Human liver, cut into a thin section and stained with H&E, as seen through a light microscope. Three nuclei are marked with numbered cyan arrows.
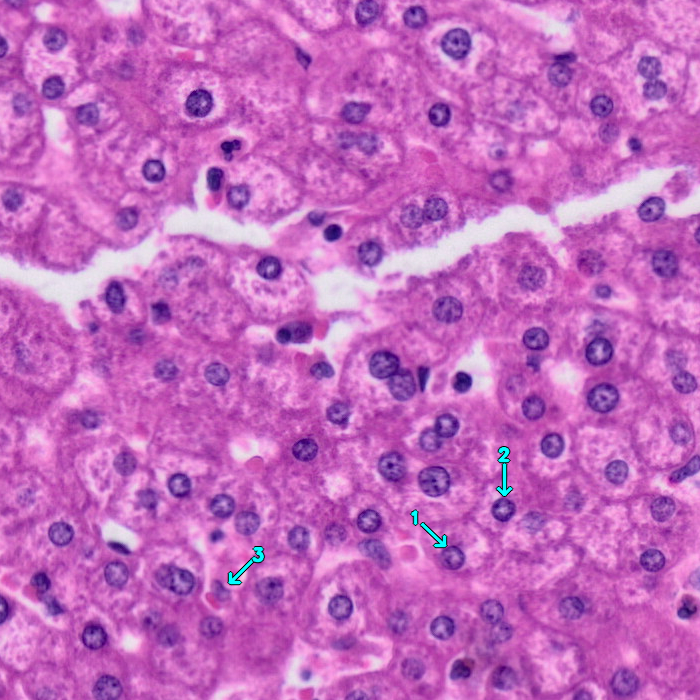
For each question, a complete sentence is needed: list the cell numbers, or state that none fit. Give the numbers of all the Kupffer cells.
Nothing but cell 3 is a Kupffer cell among the numbered ones.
